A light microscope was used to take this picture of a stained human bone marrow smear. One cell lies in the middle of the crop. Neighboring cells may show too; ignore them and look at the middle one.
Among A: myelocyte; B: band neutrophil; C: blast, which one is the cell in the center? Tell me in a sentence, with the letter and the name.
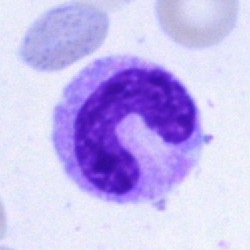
The central cell in this crop is a band neutrophil, so the correct choice is option B.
